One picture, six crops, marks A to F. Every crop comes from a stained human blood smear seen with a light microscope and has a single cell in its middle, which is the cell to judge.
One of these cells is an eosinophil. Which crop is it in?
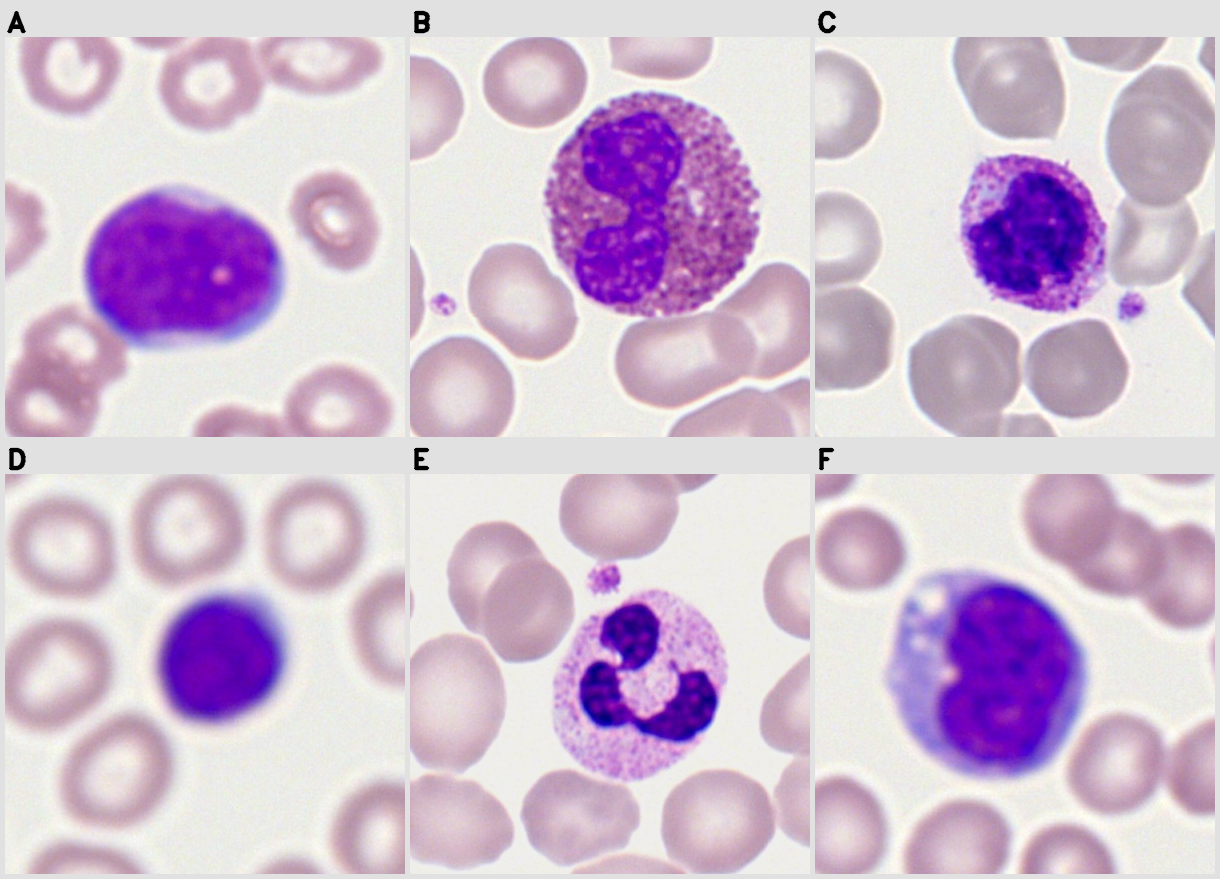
B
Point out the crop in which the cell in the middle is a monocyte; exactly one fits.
F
